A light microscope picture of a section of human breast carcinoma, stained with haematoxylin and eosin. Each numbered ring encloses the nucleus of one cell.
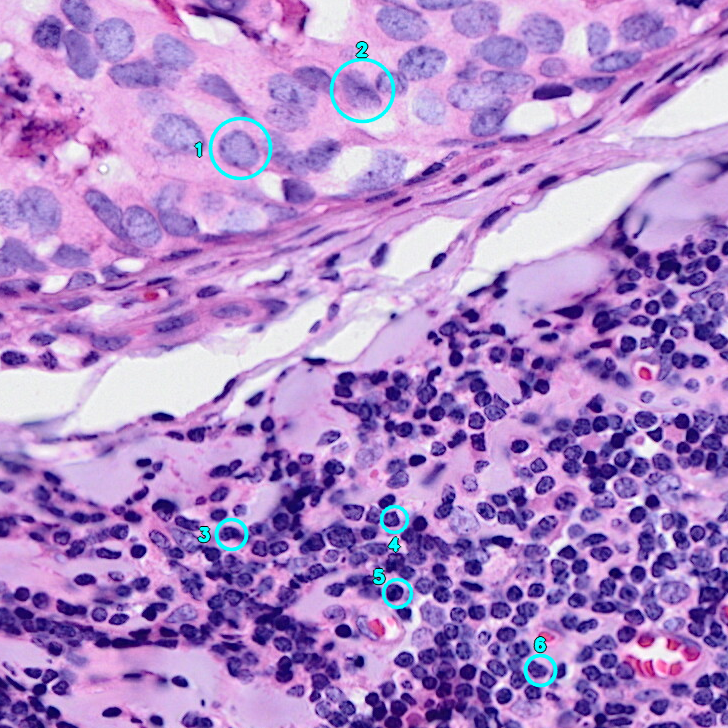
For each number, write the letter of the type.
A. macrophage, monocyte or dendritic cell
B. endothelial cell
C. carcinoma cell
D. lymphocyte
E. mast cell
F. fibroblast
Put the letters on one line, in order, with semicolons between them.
C; C; D; D; D; D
